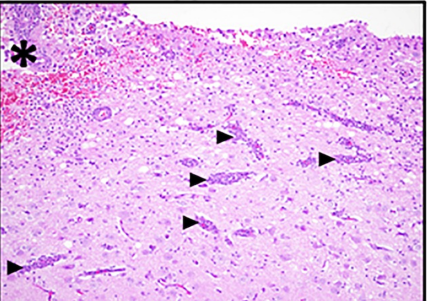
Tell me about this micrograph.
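This is pink tissue next to a site of injury, with red blood and a crowd of purple nuclei along one edge. The vessels scattered through it are plump and thick-walled, with many purple nuclei crowded along their walls, a sign of endothelial proliferation. Between them the tissue holds scattered small nuclei.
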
